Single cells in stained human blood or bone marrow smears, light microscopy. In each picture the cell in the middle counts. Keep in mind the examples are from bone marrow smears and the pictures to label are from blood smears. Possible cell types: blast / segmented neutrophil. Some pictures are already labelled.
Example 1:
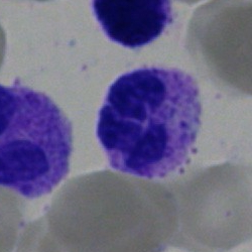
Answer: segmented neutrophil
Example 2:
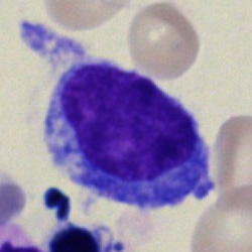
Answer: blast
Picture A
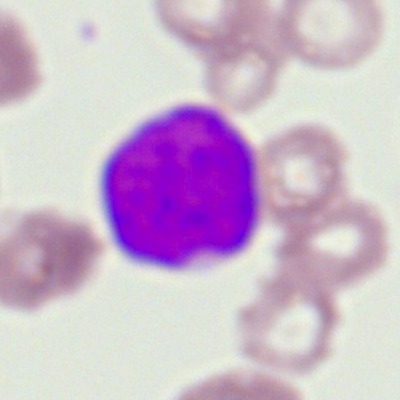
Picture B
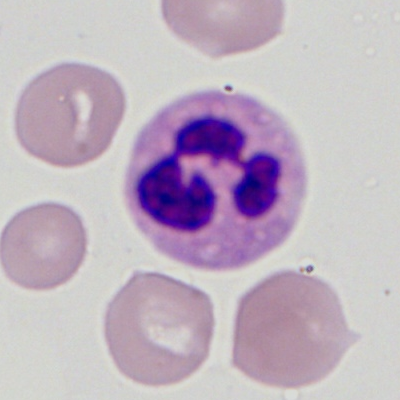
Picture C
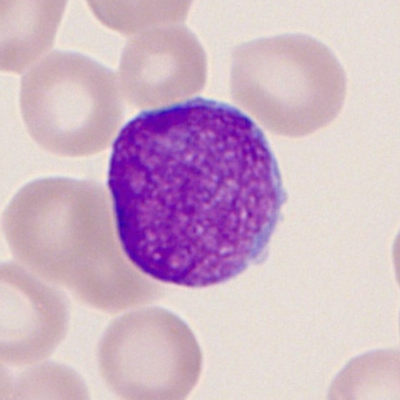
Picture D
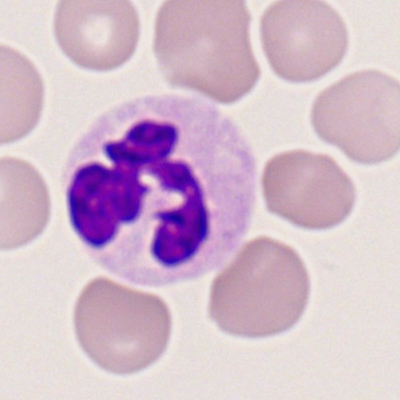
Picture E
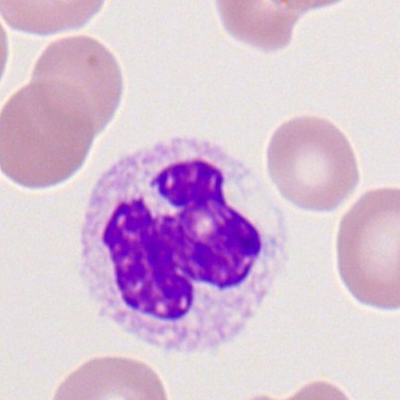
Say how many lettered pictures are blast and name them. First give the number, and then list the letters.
2, namely A, C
